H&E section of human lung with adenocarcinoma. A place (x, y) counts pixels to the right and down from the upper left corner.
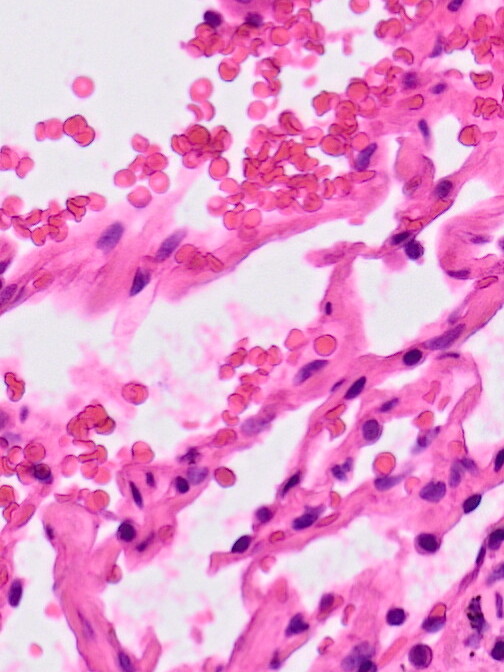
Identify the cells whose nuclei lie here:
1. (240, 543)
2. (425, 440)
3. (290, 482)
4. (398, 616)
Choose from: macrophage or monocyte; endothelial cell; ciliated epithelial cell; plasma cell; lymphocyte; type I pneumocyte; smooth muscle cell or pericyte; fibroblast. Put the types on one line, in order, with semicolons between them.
type I pneumocyte; type I pneumocyte; endothelial cell; lymphocyte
